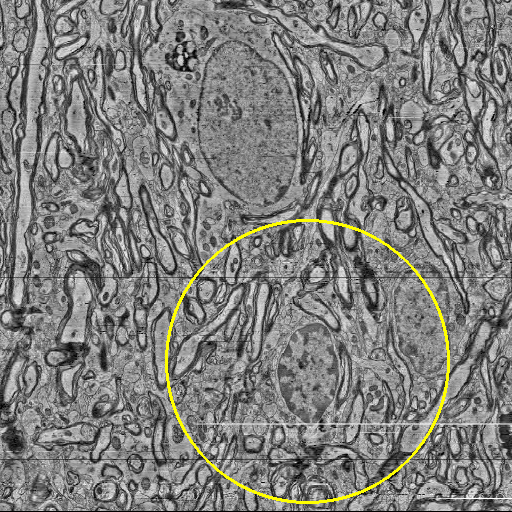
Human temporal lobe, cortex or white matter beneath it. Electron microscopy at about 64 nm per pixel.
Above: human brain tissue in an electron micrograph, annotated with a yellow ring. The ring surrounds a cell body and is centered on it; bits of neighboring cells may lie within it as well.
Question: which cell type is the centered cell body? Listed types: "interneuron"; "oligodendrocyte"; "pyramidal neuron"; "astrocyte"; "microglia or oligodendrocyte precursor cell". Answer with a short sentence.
The centered cell body is a microglial cell or oligodendrocyte precursor cell.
